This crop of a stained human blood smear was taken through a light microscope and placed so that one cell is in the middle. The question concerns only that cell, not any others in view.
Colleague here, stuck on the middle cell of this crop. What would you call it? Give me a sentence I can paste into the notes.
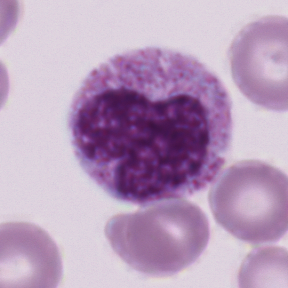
For this crop, the central cell is a band neutrophil.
